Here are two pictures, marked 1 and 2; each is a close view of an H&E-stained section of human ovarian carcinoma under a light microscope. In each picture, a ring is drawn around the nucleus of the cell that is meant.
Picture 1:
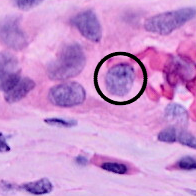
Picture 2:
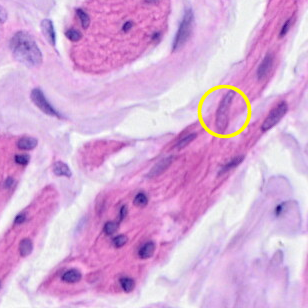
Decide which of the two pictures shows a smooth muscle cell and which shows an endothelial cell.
1: endothelial cell
2: smooth muscle cell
